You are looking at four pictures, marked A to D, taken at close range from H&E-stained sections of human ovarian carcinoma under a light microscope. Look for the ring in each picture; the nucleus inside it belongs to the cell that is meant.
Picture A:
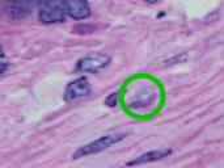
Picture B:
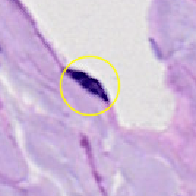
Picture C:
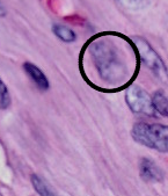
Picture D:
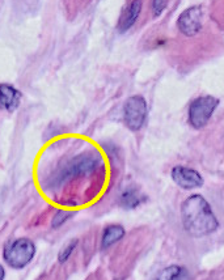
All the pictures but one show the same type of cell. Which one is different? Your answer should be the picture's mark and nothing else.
A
